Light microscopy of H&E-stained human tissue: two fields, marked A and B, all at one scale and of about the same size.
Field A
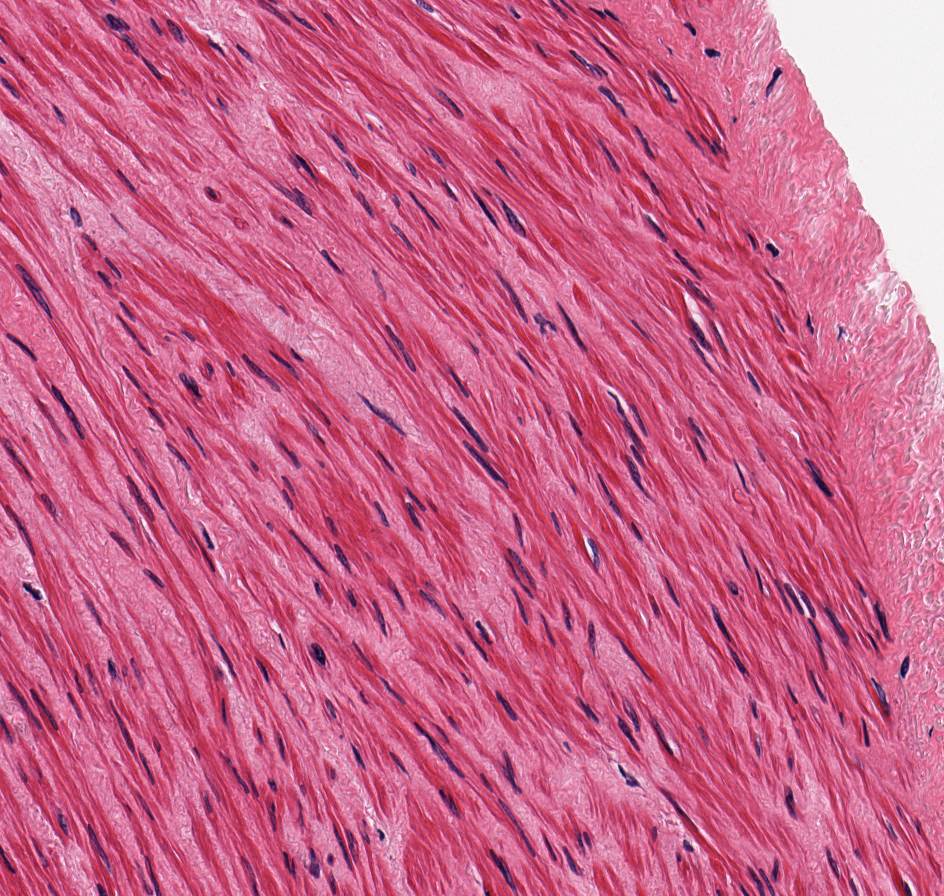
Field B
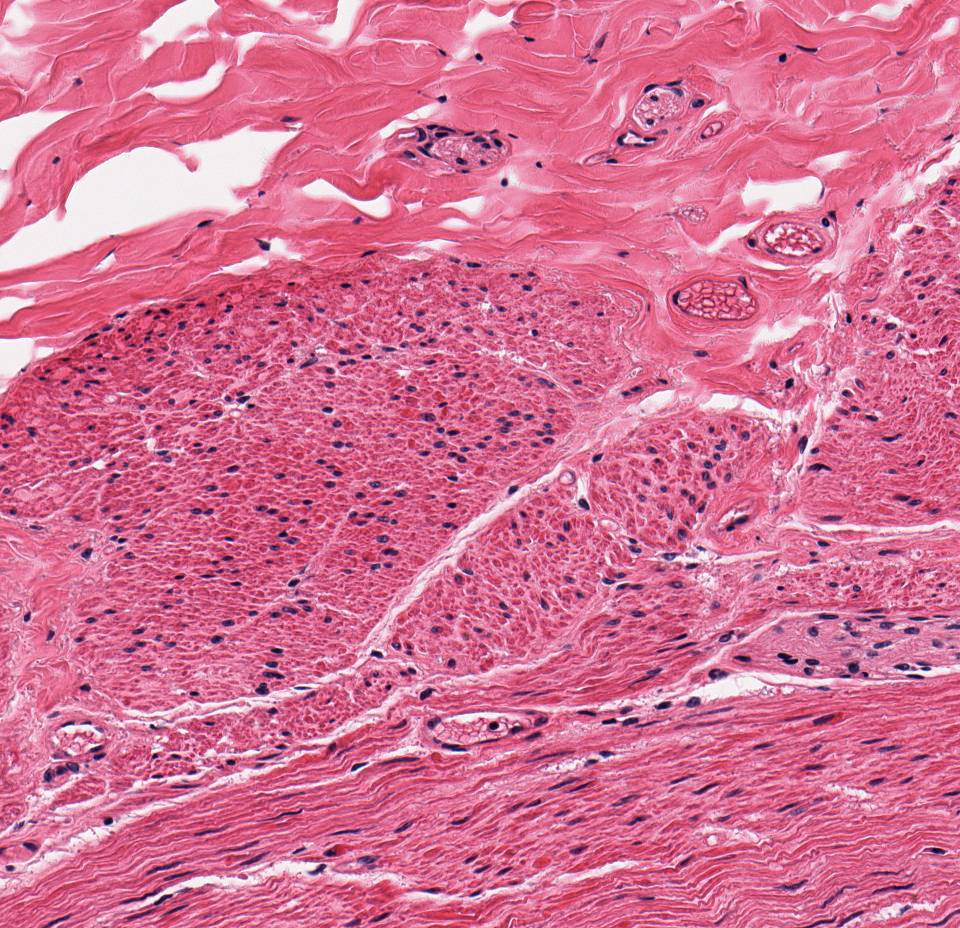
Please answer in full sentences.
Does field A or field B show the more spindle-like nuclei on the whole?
The nuclei are more elongated in field A.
